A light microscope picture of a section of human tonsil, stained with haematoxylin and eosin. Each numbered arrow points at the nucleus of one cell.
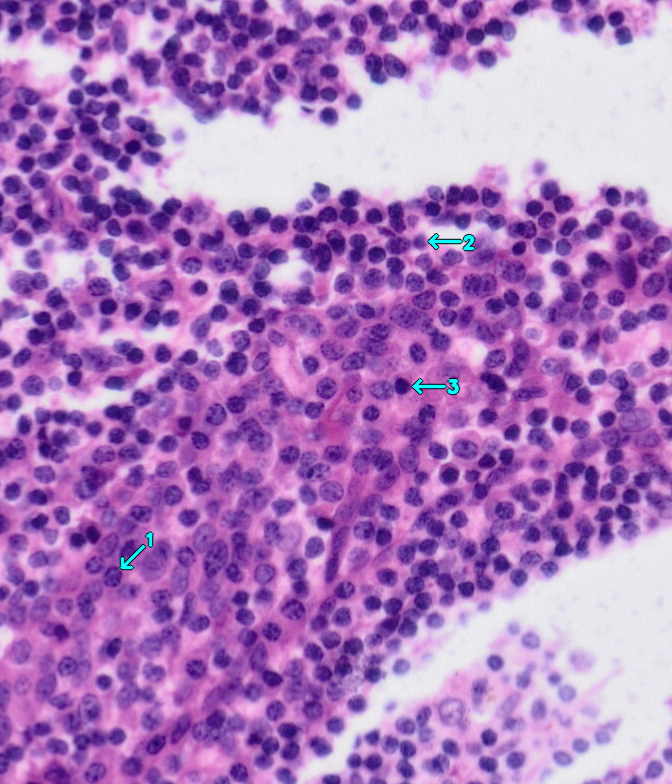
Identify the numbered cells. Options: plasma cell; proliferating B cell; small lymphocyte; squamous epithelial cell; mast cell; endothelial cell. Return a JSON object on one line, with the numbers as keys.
{"1": "plasma cell", "2": "small lymphocyte", "3": "plasma cell"}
